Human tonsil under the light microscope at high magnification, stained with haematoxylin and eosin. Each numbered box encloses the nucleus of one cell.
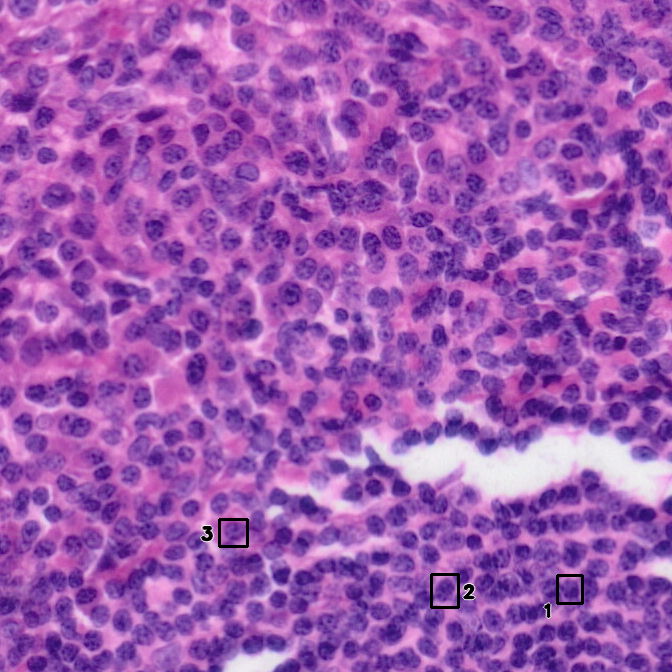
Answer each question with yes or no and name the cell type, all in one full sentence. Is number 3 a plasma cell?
Yes, in the section, number 3 is a plasma cell.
